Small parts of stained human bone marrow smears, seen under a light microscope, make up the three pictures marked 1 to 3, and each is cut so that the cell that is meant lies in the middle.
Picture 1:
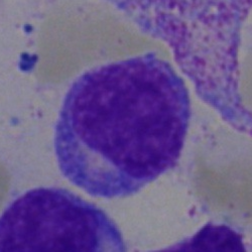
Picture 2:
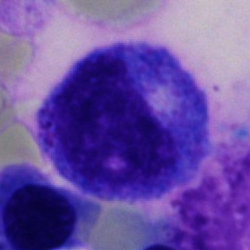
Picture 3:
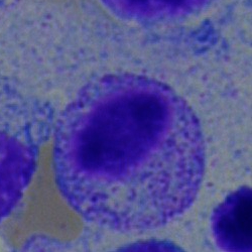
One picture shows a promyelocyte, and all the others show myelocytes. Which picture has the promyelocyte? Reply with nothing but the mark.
2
